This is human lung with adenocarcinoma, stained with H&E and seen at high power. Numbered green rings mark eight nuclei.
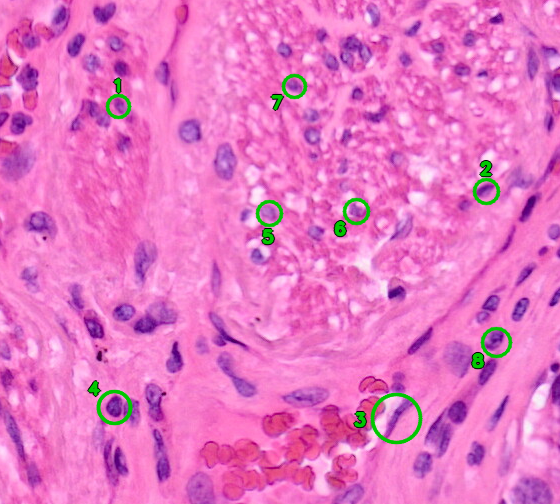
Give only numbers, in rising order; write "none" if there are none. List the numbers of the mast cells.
4, 8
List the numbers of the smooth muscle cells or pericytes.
1, 2, 5, 6, 7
